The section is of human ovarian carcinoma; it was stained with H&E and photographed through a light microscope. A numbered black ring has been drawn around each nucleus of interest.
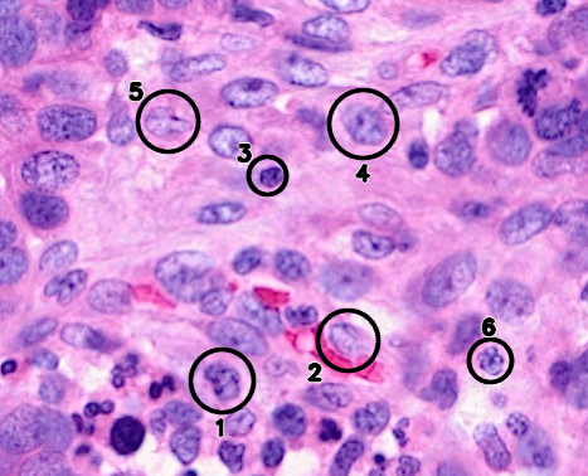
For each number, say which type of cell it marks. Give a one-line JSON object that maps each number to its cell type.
{"1": "macrophage or monocyte", "2": "endothelial cell", "3": "lymphocyte", "4": "fibroblast", "5": "fibroblast", "6": "lymphocyte"}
